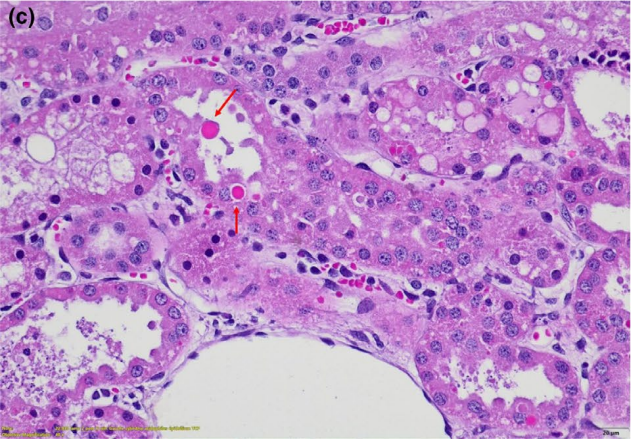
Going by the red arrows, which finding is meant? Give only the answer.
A: Hyaline droplets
